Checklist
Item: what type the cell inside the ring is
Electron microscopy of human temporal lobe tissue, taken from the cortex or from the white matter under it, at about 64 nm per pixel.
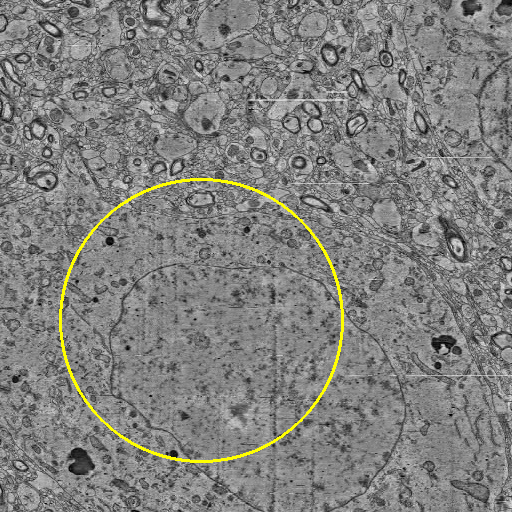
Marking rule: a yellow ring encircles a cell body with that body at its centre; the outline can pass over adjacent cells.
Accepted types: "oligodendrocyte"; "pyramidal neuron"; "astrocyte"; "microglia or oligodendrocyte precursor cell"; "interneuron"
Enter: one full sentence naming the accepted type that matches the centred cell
The entry is that a pyramidal neuron lies at the centre of the yellow ring.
